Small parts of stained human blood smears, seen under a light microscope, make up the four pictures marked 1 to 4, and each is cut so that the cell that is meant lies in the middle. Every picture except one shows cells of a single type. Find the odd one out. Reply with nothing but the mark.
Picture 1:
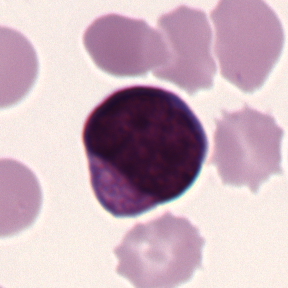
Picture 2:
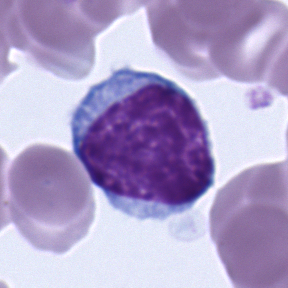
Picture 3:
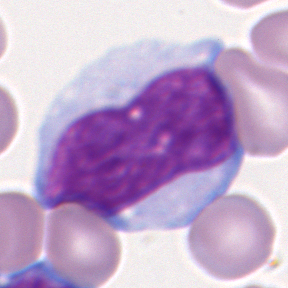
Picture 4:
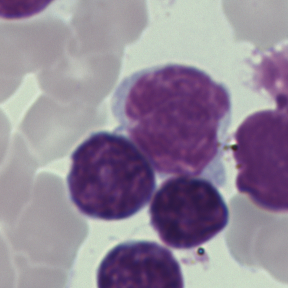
2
